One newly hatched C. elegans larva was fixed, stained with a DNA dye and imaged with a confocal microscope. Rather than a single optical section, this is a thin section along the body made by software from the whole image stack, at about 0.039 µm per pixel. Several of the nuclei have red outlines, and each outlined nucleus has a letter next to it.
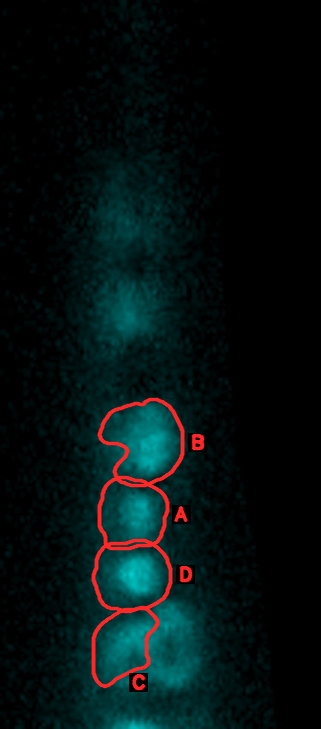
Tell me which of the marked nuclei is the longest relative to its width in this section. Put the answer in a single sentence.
Nucleus C is the longest relative to its width.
